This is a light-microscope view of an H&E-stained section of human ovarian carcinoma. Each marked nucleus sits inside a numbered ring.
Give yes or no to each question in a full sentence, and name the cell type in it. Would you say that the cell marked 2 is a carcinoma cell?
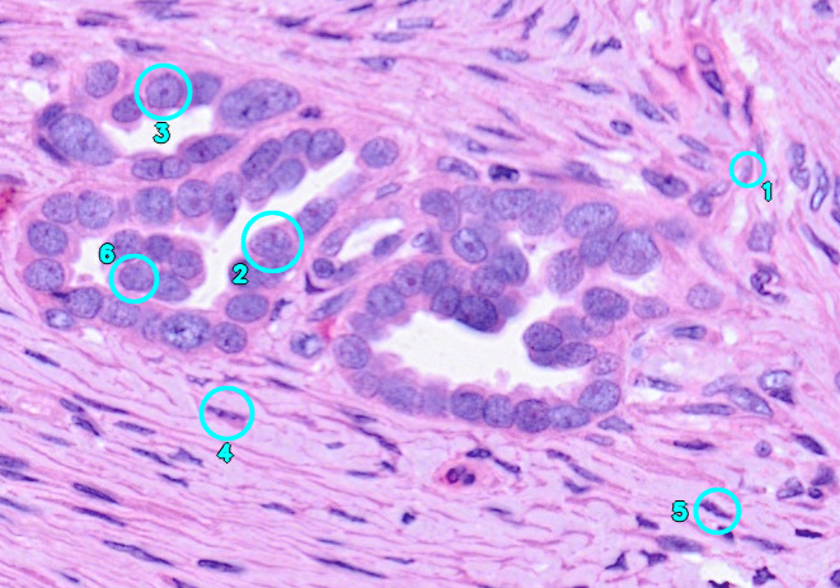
Yes, the cell identified by number 2 is a carcinoma cell.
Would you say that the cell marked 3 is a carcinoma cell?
Yes, the cell given number 3 is a carcinoma cell.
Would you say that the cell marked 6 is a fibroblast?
No, calling cell 6 a fibroblast is a mistake; it is a carcinoma cell.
